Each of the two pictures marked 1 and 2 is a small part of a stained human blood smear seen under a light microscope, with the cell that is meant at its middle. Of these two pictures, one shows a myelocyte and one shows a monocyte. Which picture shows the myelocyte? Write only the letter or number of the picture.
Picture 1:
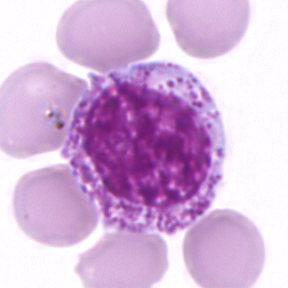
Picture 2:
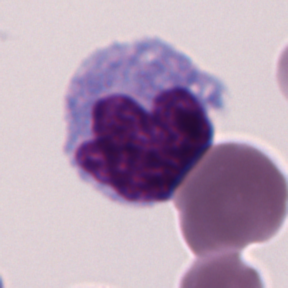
1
